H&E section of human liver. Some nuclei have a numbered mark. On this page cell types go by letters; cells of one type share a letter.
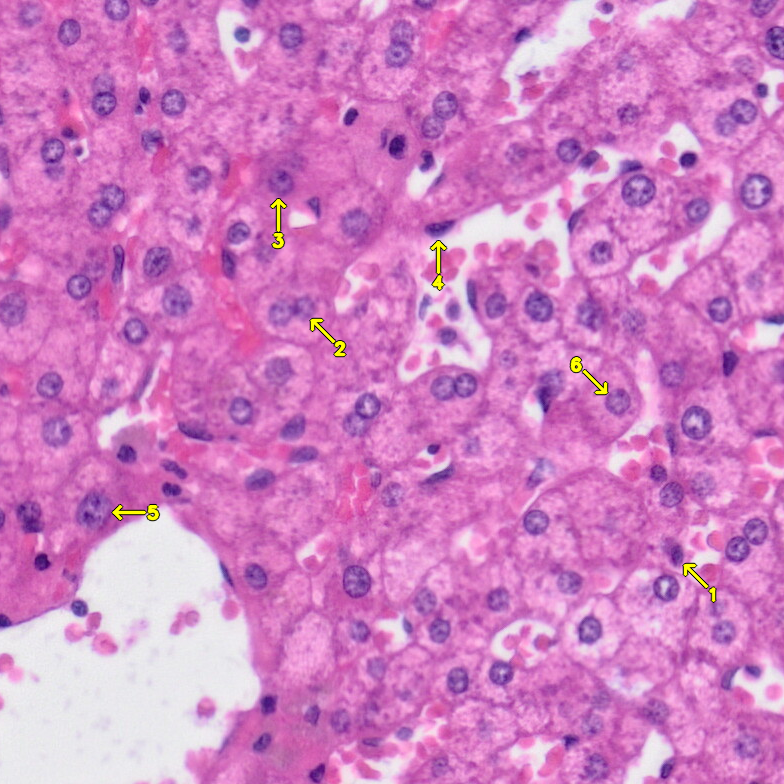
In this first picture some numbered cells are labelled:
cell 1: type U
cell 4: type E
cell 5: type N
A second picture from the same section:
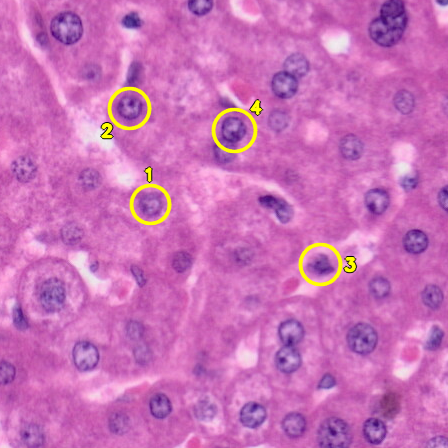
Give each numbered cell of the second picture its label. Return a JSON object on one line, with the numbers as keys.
{"1": "type N", "2": "type N", "3": "type U", "4": "type N"}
